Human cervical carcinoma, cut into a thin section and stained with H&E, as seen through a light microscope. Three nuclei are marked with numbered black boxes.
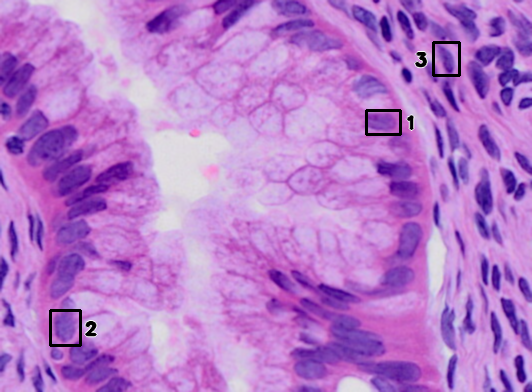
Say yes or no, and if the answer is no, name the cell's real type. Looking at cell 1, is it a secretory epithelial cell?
Yes.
